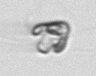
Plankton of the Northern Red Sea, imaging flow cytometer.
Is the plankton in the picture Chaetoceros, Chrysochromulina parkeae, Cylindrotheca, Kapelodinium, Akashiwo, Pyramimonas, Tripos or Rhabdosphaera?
It is Pyramimonas.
